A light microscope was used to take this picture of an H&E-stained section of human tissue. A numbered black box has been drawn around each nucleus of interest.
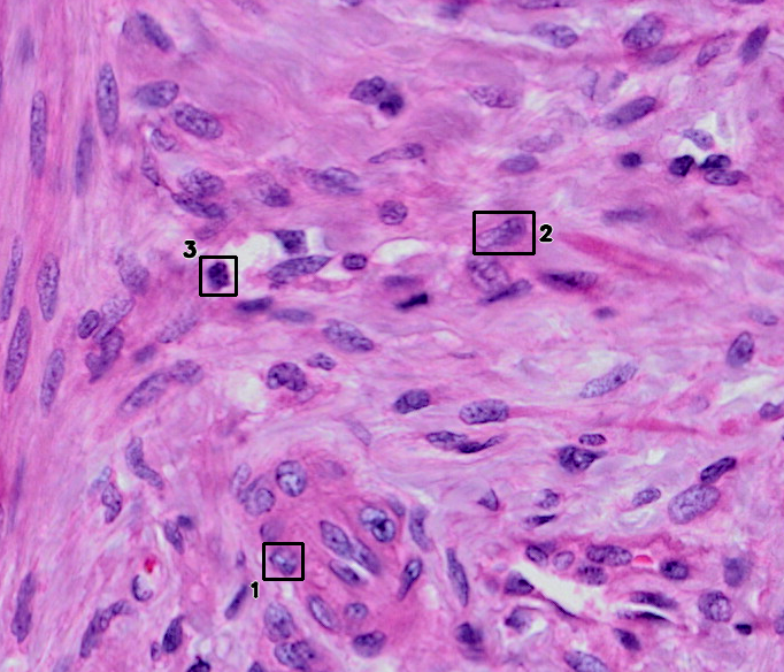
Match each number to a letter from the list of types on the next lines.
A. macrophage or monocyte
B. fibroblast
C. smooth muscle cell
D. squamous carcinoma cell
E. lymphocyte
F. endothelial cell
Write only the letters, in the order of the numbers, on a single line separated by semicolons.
C; F; E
